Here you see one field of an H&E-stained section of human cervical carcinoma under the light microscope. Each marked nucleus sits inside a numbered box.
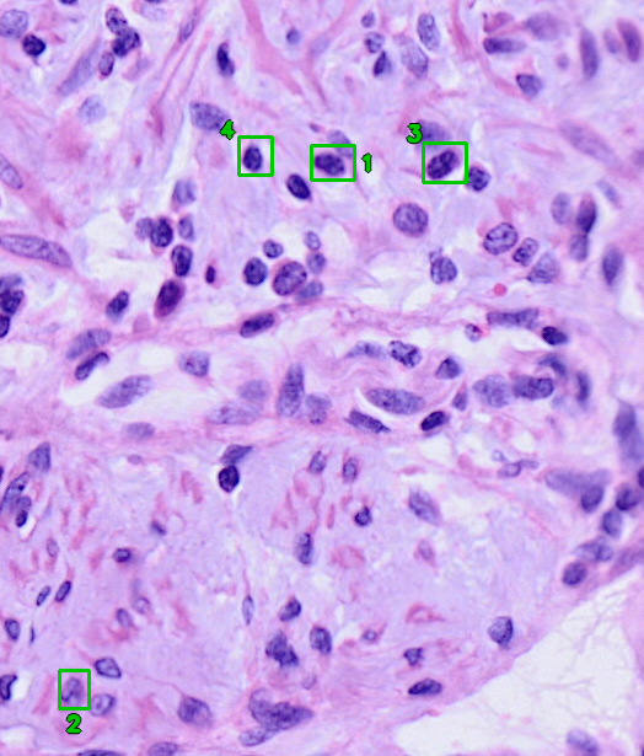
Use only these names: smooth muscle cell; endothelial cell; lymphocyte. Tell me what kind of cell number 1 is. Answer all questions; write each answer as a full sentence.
The marked cell with the number 1 is recognised as a lymphocyte.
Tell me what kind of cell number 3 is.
The cell that bears the number 3 is a lymphocyte.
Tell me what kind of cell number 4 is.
The cell that carries the label 4 is a lymphocyte.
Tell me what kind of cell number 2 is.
In this section, the cell numbered 2 is a smooth muscle cell.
